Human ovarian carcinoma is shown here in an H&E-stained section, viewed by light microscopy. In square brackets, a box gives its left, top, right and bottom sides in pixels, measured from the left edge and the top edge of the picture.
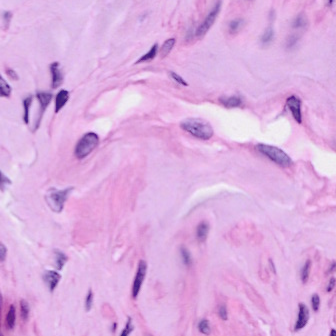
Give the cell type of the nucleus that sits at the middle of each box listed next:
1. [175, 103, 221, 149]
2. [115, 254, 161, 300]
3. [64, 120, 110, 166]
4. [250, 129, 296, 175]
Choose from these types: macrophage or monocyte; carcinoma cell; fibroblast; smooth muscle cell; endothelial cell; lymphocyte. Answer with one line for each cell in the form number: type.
1: endothelial cell
2: smooth muscle cell
3: endothelial cell
4: endothelial cell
